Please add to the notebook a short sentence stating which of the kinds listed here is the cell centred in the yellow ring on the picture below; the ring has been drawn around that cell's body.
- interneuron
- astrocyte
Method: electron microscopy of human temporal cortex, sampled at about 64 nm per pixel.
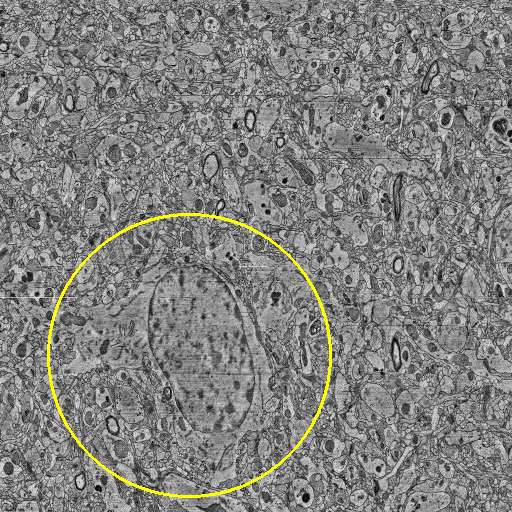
The cell centred in the yellow ring is an astrocyte.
